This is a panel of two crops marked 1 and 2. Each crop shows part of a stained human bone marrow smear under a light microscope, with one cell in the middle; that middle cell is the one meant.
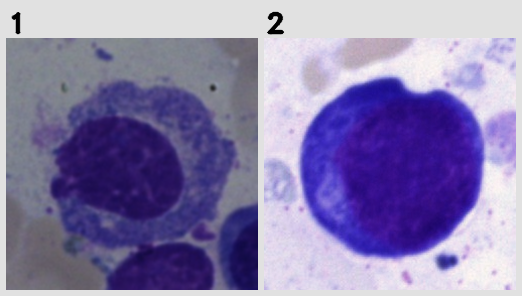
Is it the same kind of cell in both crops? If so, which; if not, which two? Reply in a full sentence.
No, crop 1 contains a plasma cell, while crop 2 contains a proerythroblast.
